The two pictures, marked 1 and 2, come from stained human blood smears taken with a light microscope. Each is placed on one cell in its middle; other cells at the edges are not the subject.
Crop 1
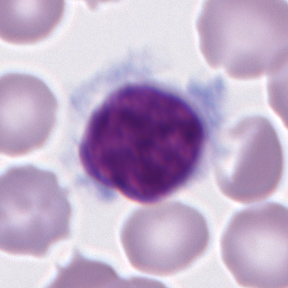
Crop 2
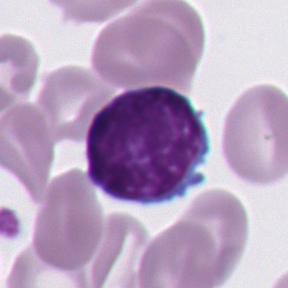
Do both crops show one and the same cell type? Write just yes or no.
no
